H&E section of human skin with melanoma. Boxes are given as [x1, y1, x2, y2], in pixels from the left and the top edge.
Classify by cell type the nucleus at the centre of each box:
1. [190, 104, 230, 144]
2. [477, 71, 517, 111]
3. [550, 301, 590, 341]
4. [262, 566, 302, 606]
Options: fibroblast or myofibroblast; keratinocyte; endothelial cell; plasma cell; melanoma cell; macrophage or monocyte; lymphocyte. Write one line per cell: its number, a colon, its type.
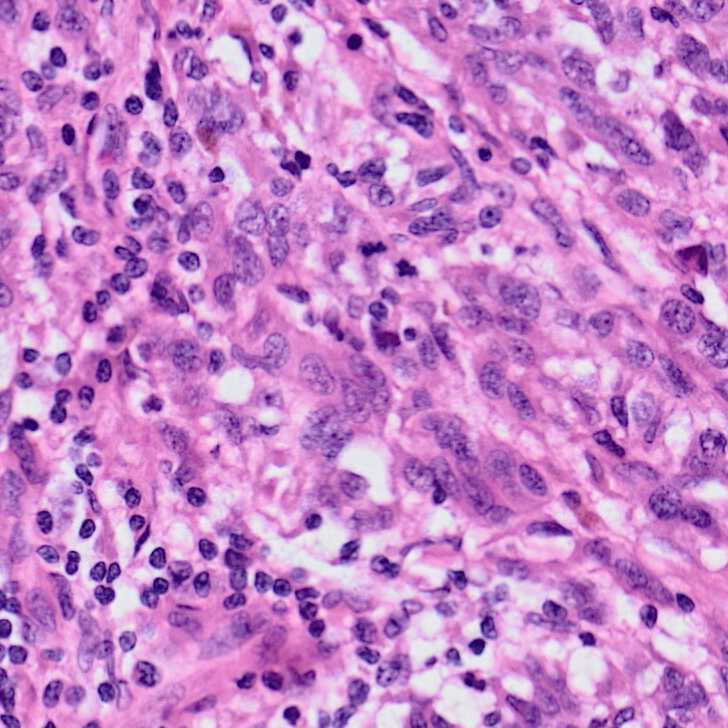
1: melanoma cell
2: melanoma cell
3: melanoma cell
4: lymphocyte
